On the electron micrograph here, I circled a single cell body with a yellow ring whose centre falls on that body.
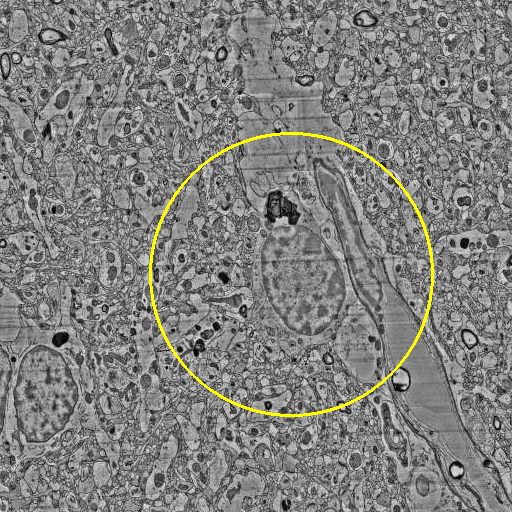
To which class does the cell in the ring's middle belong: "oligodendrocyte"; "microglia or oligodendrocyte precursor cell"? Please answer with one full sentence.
In this picture, the cell body circled at the ring's centre belongs to an oligodendrocyte.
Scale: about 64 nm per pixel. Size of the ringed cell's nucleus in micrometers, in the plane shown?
About 7 by 5 micrometres in this plane.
